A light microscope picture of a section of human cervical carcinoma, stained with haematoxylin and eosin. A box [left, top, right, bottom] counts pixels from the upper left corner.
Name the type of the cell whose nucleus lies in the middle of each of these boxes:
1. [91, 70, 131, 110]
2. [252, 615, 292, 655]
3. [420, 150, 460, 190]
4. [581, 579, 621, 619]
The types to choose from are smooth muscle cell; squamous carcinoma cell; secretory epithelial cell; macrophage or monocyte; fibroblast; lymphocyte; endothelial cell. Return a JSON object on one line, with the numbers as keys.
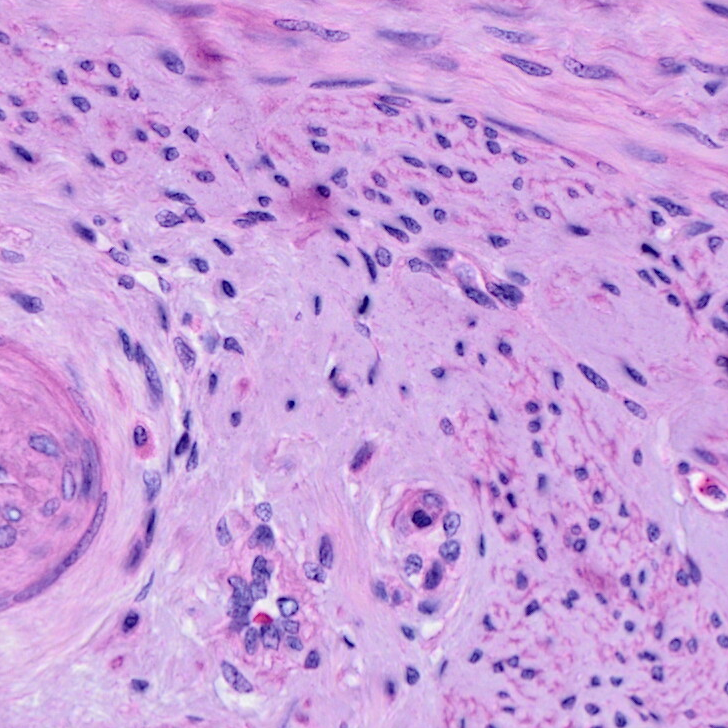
{"1": "smooth muscle cell", "2": "endothelial cell", "3": "smooth muscle cell", "4": "smooth muscle cell"}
